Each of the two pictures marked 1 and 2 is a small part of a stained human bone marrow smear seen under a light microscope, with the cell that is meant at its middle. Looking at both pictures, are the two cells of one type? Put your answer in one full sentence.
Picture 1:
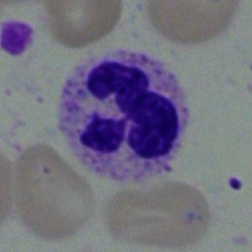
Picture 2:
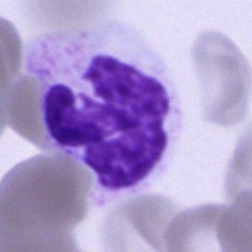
Yes, they are the same type: both are segmented neutrophils.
